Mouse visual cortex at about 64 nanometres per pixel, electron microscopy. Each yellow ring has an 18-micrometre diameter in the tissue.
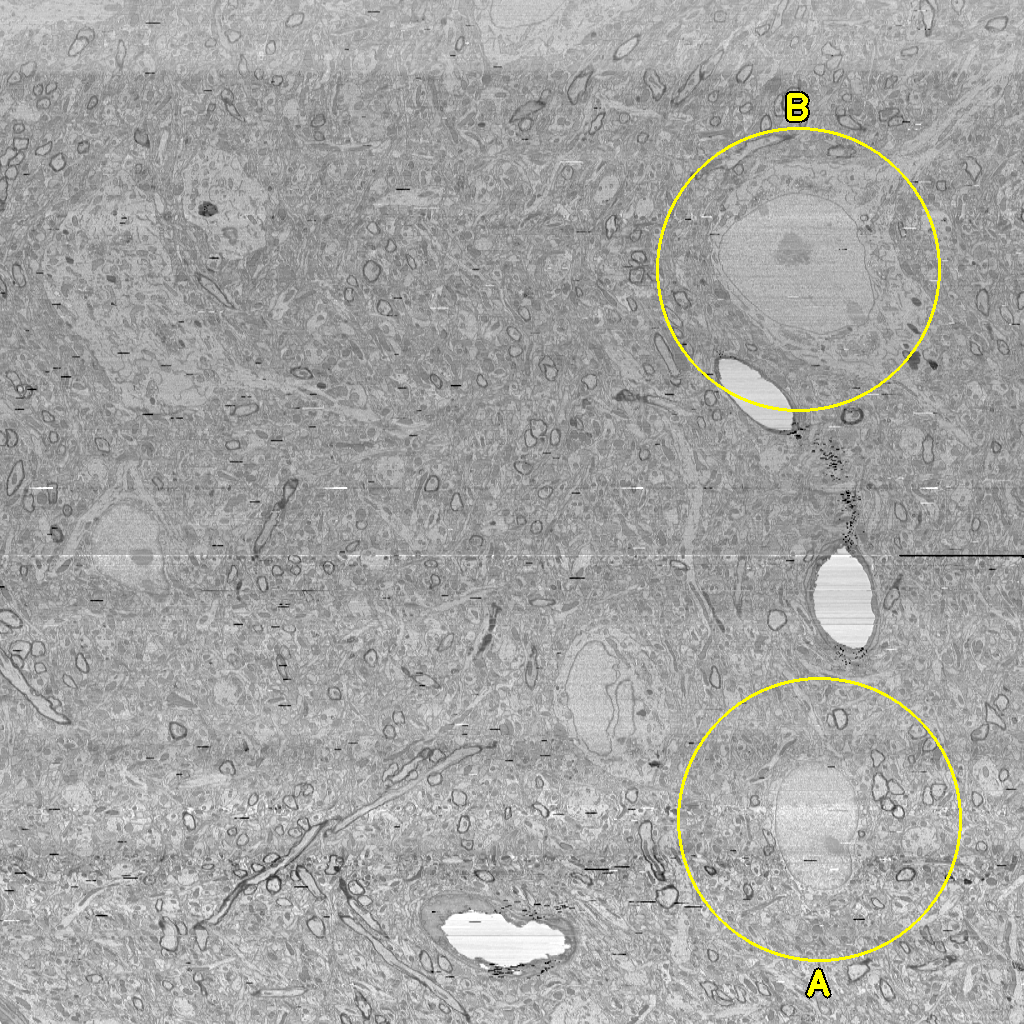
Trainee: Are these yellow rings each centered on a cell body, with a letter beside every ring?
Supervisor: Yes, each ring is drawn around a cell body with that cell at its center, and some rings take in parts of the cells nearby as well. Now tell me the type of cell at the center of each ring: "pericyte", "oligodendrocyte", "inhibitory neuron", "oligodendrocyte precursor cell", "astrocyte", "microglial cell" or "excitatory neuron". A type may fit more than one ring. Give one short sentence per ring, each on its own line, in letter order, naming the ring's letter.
Ring A has an astrocyte at its center.
Ring B has an excitatory neuron at its center.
